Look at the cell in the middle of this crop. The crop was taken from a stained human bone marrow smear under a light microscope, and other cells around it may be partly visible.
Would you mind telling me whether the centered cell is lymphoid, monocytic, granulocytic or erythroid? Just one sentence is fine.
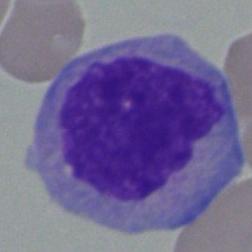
The cell at the middle of the crop is designated as monocytic in lineage.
